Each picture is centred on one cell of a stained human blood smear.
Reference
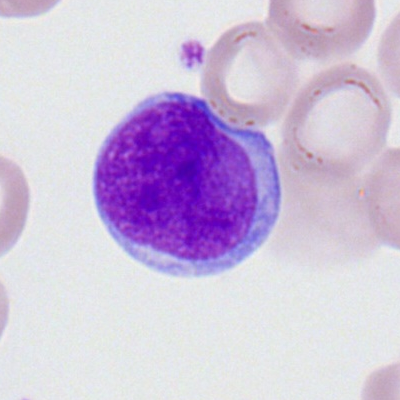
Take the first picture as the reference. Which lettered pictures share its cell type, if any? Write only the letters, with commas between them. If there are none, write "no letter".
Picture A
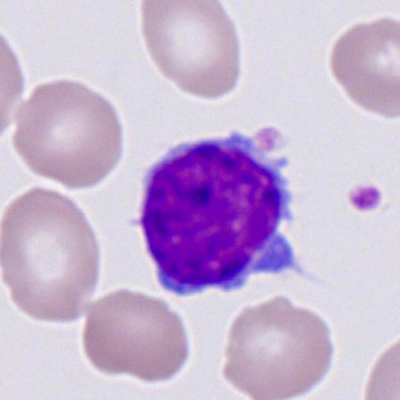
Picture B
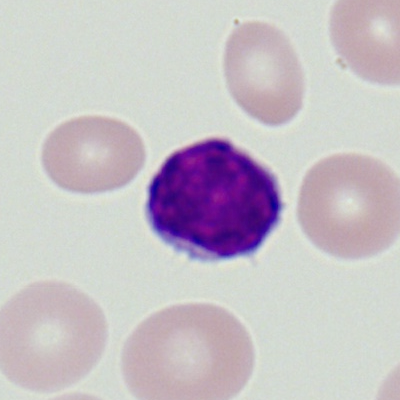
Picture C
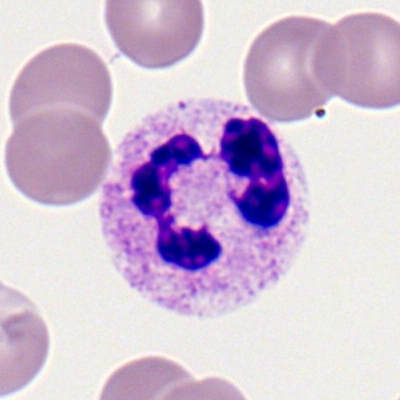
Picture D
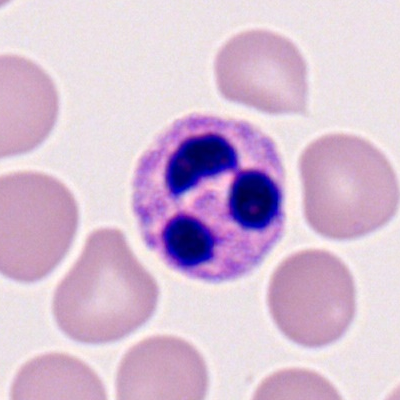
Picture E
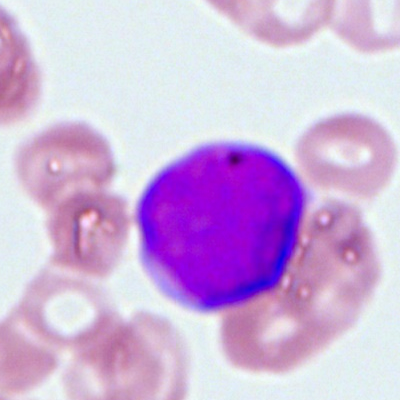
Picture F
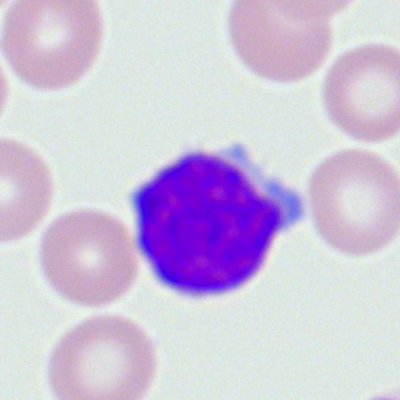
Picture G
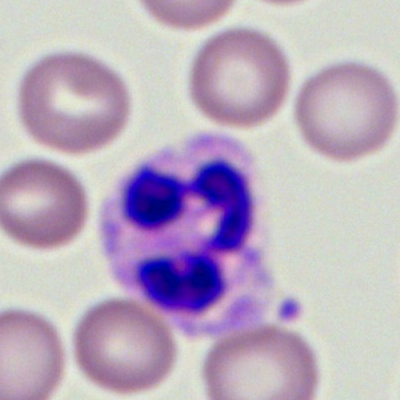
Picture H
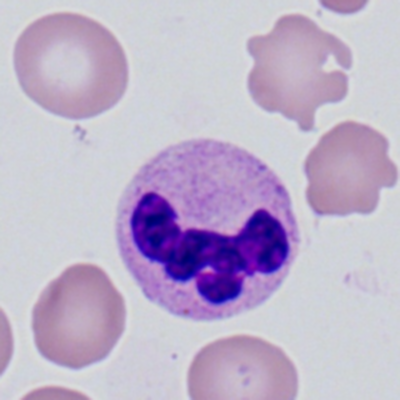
E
